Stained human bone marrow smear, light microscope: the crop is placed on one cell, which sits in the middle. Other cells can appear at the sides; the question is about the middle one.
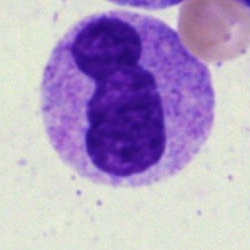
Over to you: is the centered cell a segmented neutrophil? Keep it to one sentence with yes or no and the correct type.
No, the cell in the middle is a band neutrophil; it is not a segmented neutrophil.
